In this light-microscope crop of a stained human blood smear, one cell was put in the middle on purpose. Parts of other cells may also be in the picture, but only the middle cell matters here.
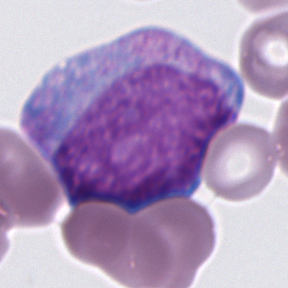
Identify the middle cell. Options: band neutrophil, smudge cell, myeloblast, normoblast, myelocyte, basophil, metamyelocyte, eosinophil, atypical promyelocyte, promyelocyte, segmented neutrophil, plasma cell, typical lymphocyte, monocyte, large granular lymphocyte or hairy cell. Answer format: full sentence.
Within this crop, an atypical promyelocyte occupies the central position.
